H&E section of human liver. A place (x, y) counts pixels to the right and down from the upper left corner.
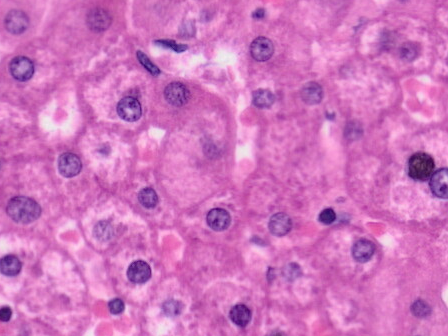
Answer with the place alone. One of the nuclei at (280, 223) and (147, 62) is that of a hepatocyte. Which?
(280, 223)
